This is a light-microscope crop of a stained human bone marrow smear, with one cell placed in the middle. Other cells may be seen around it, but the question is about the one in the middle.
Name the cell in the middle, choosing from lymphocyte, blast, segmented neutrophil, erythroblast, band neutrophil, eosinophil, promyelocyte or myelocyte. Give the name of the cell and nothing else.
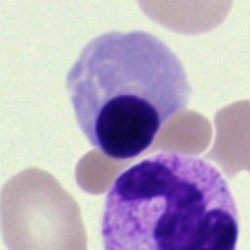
erythroblast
